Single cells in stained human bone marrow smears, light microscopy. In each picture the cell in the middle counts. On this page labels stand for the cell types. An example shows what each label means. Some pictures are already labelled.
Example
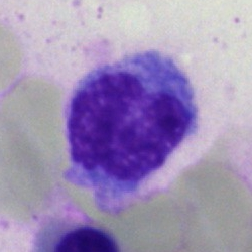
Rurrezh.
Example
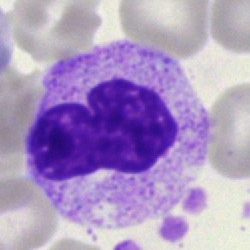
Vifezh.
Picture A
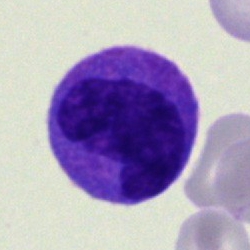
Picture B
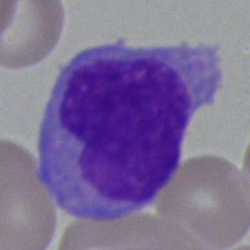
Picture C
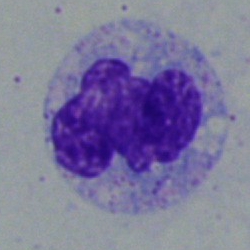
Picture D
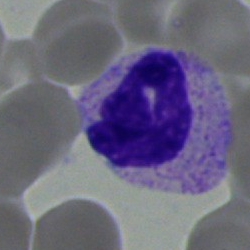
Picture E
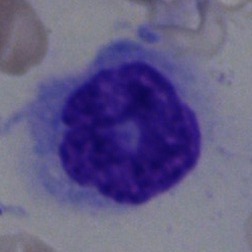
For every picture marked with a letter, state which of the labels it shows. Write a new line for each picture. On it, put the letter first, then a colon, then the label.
A: Rurrezh.
B: Rurrezh.
C: Rurrezh.
D: Vifezh.
E: Rurrezh.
